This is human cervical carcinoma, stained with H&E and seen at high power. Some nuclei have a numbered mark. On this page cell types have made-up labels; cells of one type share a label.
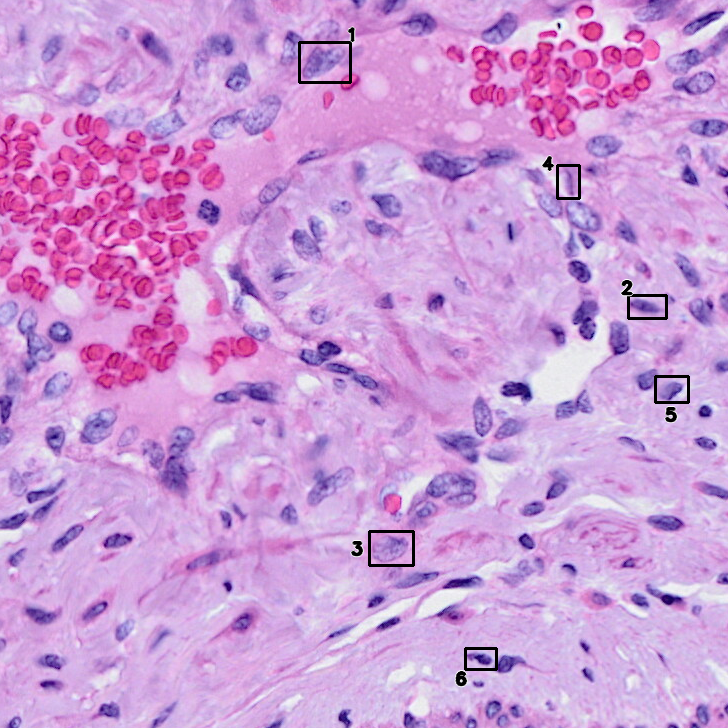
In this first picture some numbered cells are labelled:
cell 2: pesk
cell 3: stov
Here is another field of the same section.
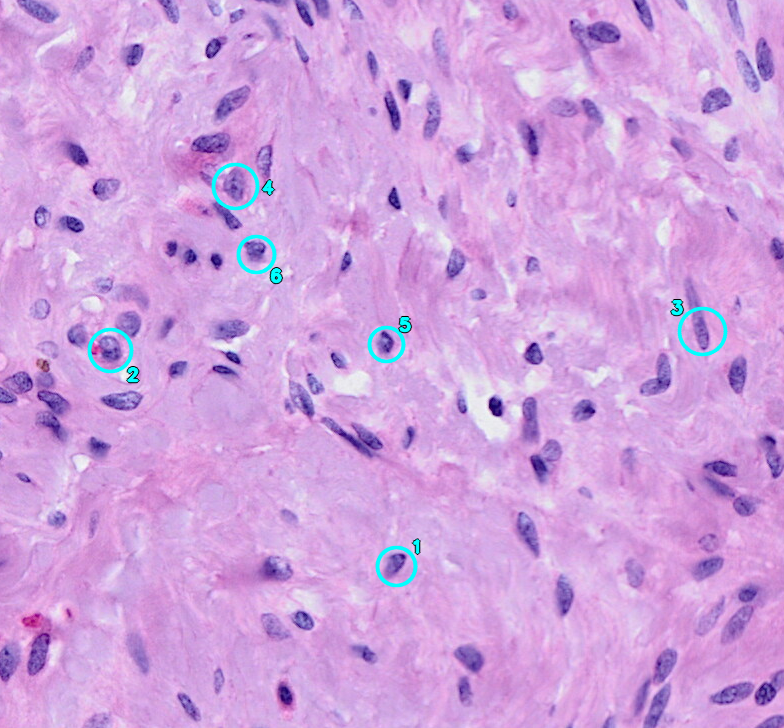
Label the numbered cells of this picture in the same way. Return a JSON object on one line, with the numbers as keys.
{"1": "pesk", "2": "stov", "3": "pesk", "4": "stov", "5": "pesk", "6": "pesk"}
